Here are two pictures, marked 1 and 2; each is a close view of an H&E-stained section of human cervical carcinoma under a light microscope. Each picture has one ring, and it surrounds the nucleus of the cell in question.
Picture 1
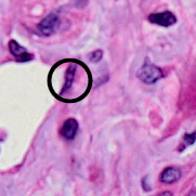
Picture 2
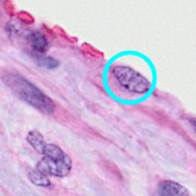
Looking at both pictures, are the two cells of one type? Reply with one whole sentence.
Yes, they are the same type: both are endothelial cells.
